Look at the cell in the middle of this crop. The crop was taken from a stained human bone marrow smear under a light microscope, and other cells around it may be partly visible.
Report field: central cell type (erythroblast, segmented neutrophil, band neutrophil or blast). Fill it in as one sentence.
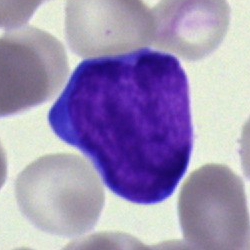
The cell centred in this crop is categorized as a blast.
